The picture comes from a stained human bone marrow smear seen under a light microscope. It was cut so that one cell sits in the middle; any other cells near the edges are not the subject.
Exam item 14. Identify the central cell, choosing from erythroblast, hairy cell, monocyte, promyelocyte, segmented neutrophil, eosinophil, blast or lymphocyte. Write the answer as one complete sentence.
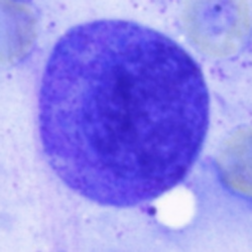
The cell centred in this crop is categorized as a promyelocyte.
